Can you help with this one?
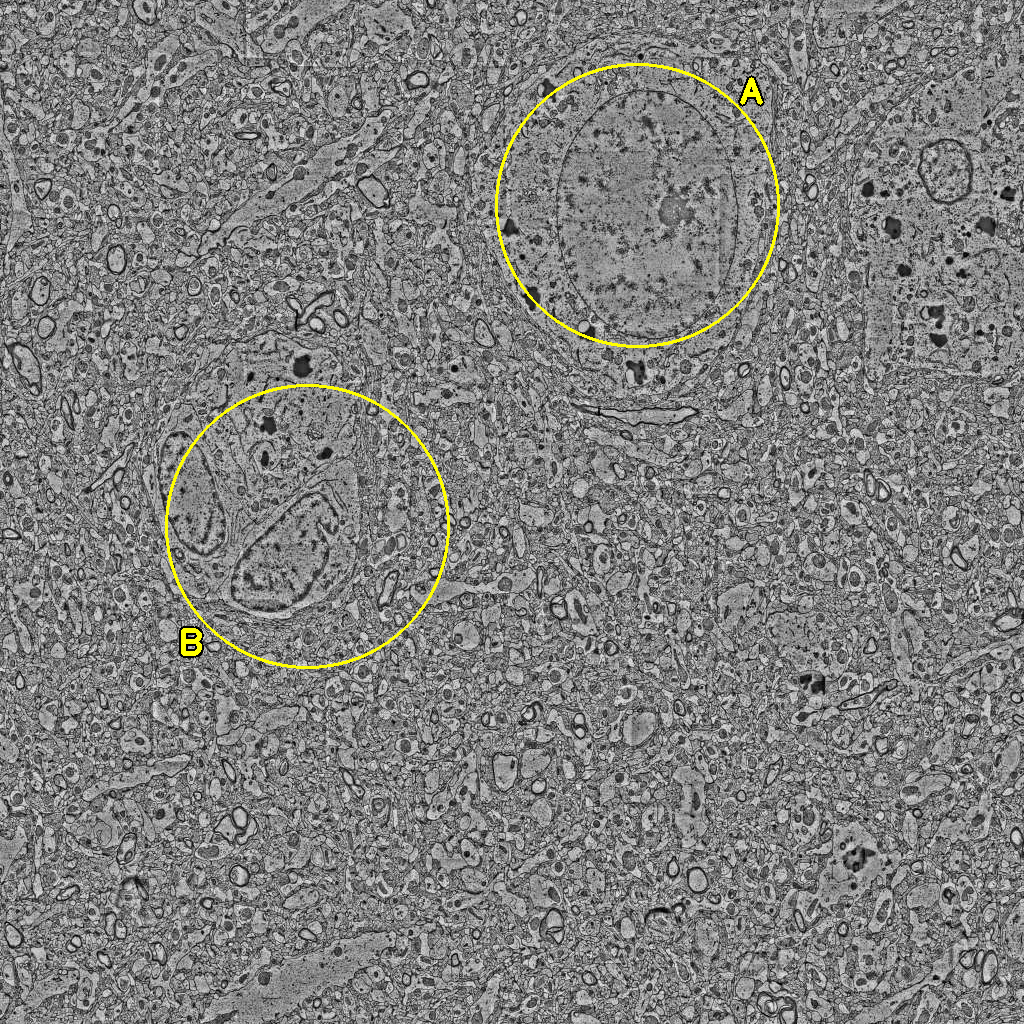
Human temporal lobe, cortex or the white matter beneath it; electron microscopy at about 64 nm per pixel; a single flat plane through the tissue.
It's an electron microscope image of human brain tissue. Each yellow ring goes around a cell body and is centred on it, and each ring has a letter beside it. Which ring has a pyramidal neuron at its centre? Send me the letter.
A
